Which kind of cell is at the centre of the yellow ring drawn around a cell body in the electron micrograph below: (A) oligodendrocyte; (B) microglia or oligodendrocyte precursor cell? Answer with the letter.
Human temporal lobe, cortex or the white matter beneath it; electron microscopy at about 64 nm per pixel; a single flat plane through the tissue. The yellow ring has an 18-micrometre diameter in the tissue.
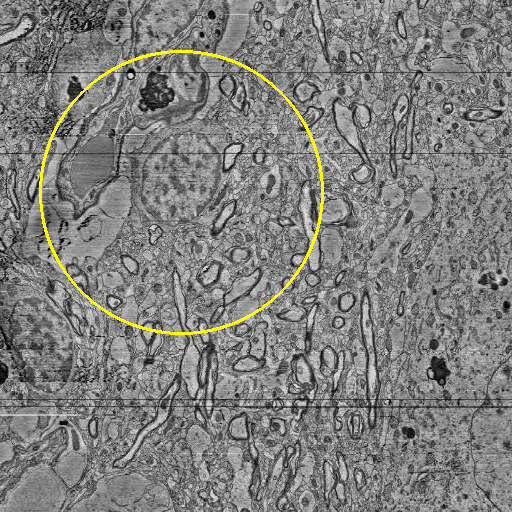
A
